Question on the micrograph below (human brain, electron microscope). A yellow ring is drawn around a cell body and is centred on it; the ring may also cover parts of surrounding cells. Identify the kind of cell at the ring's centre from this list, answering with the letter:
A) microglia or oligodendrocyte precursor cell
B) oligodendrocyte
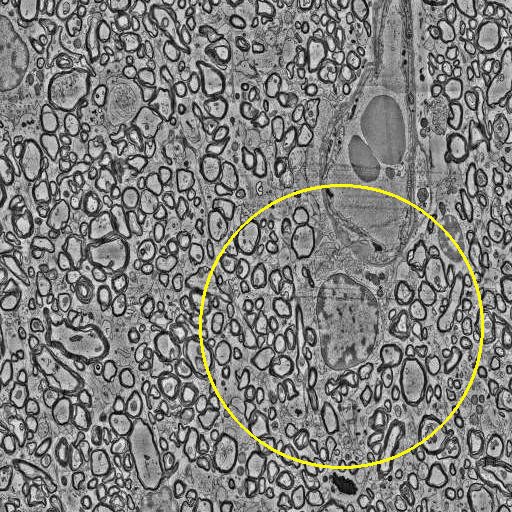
A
